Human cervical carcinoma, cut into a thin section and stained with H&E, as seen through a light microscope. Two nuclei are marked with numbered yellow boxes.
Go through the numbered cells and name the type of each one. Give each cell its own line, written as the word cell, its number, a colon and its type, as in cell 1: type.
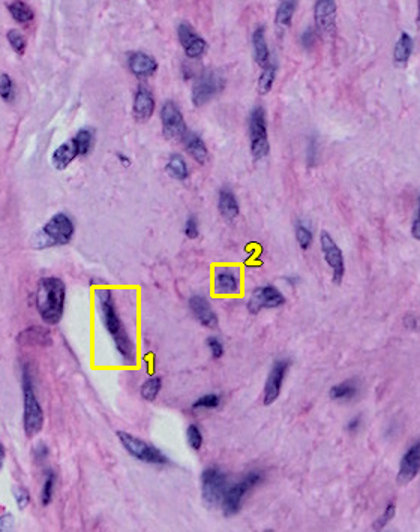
cell 1: endothelial cell
cell 2: smooth muscle cell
